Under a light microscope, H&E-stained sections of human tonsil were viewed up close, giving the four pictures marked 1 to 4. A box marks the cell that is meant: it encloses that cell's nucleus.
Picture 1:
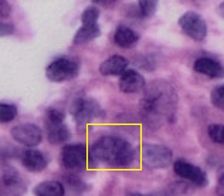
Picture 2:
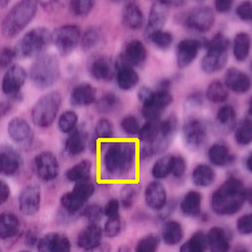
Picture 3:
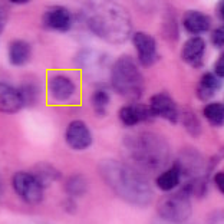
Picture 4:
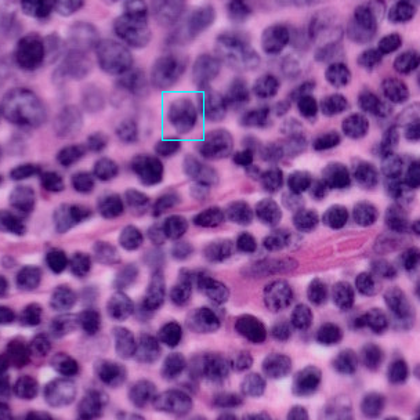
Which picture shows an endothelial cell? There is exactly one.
3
